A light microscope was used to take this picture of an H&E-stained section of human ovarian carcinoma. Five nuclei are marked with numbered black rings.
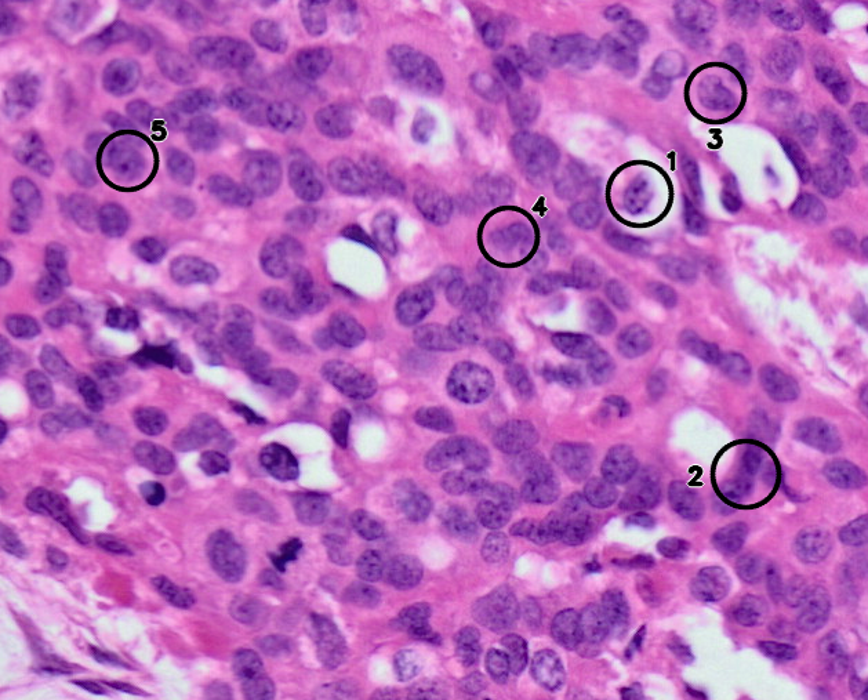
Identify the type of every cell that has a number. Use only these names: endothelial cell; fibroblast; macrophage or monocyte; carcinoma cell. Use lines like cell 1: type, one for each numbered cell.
cell 1: macrophage or monocyte
cell 2: carcinoma cell
cell 3: macrophage or monocyte
cell 4: carcinoma cell
cell 5: carcinoma cell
